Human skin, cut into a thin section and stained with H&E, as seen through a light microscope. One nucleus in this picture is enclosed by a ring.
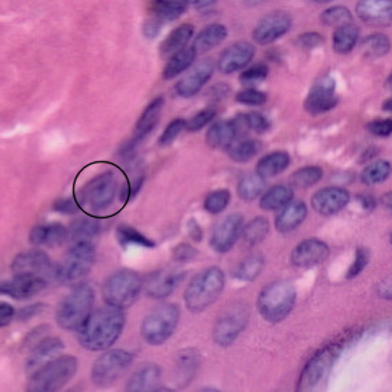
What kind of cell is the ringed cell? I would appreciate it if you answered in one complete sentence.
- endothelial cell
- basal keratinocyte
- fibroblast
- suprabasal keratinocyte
In this section, the ringed cell is a basal keratinocyte.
